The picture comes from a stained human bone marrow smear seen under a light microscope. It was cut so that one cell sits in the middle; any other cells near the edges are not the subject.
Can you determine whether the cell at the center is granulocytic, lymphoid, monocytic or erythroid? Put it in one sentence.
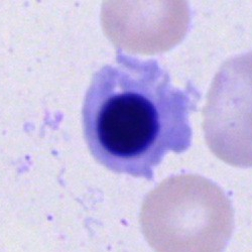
The cell in the middle falls under the erythroid lineage.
